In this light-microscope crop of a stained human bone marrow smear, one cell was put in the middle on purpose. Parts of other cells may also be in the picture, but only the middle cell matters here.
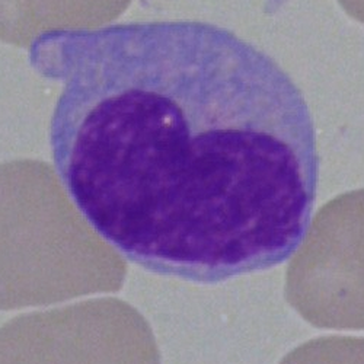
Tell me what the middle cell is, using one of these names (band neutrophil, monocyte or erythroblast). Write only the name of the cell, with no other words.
monocyte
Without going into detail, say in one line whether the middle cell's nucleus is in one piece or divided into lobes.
The nucleus holds together as a single compact mass, round, oval or kidney-like.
